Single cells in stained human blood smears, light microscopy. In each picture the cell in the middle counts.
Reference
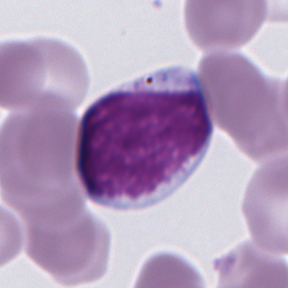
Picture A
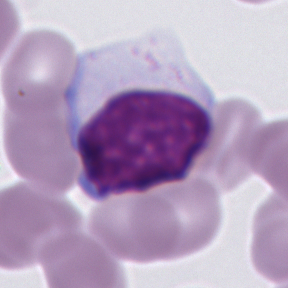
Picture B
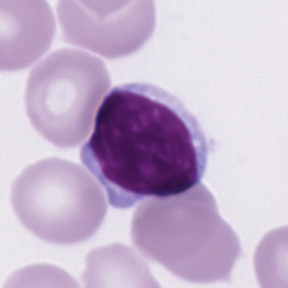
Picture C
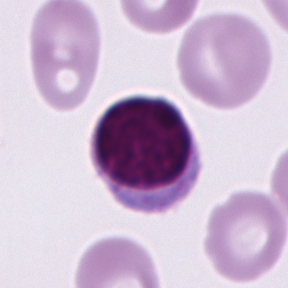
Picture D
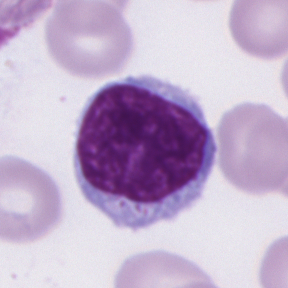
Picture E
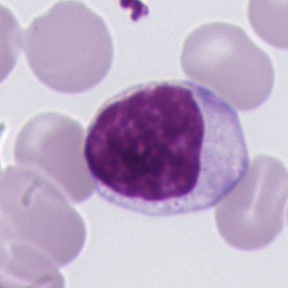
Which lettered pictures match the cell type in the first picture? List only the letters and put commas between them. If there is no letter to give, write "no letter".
A, E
